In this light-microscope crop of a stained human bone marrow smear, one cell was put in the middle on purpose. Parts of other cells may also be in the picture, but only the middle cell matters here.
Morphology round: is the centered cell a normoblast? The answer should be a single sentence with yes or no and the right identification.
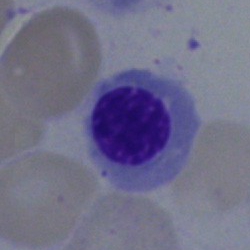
Yes, the cell in the central position is a normoblast.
